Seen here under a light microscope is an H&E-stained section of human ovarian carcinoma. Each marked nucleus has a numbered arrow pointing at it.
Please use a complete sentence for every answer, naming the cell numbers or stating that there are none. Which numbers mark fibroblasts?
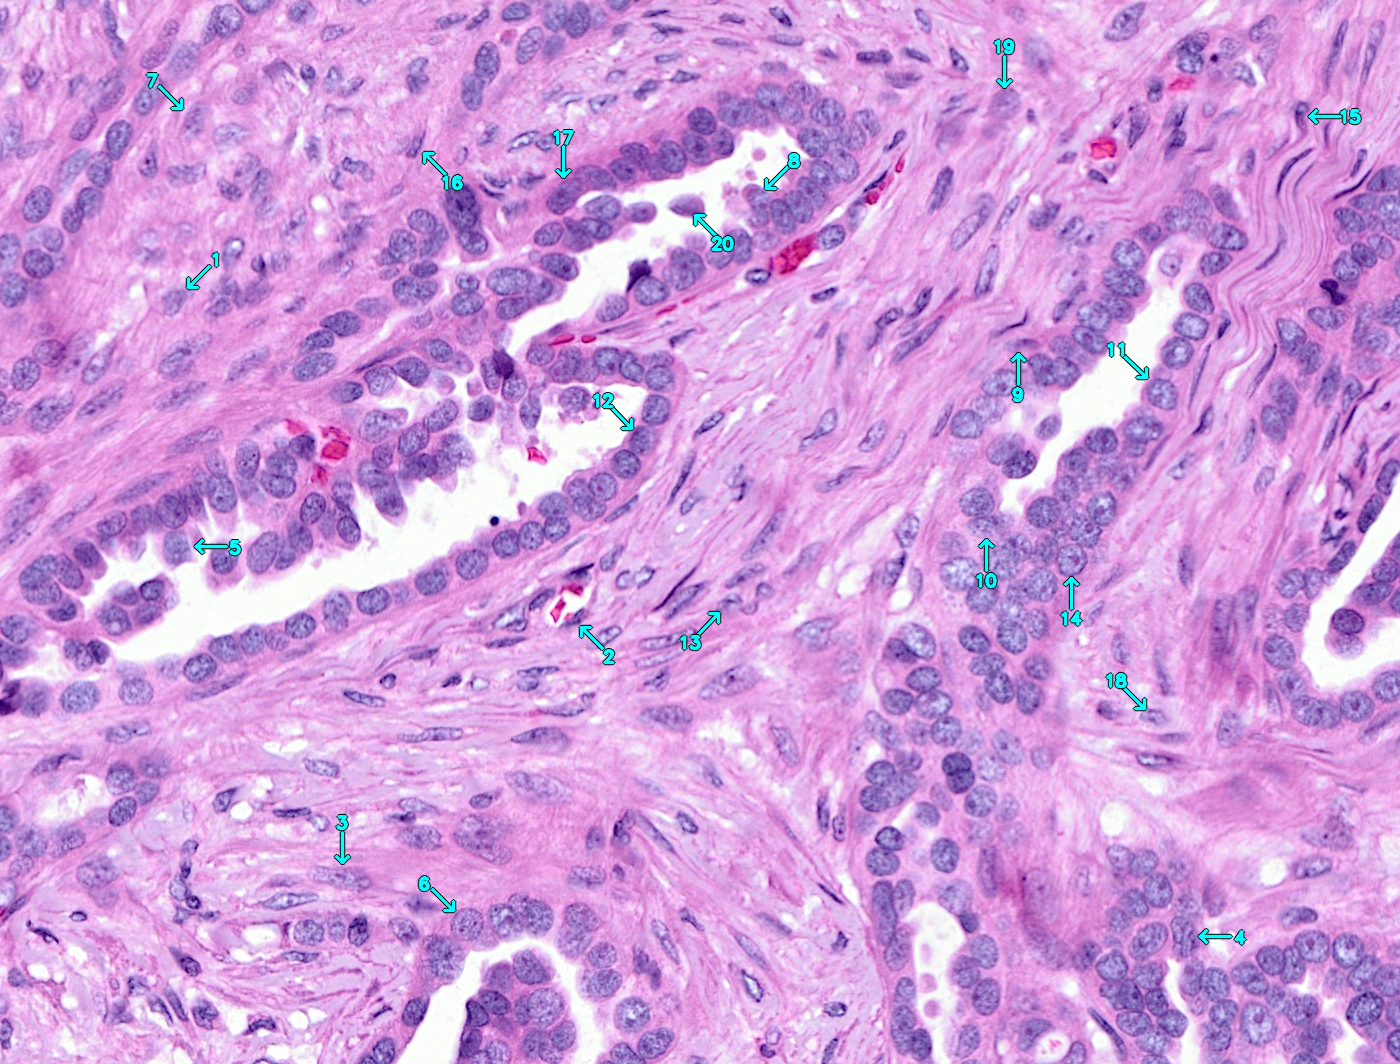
The cells marked 1, 3, 7, 9, 13, 15, 16, 18 and 19 in the section are fibroblasts.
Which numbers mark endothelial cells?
As for the numbered cells, only cell 2 is an endothelial cell.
